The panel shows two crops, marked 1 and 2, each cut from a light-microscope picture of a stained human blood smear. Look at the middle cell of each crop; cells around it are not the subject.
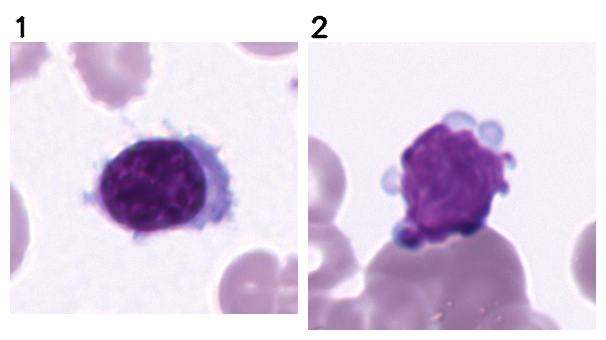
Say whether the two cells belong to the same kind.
no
